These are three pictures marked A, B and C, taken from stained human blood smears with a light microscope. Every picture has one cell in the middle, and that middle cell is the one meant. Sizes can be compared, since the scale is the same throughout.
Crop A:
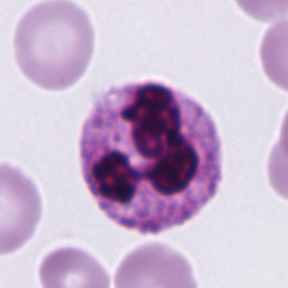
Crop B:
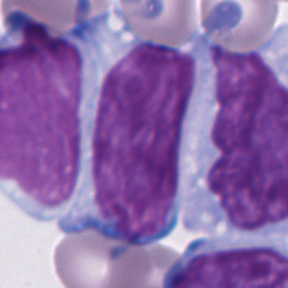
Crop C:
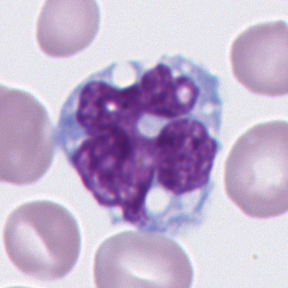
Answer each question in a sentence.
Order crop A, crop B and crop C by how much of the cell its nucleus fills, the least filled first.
They run A, C, B, the least filled first.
